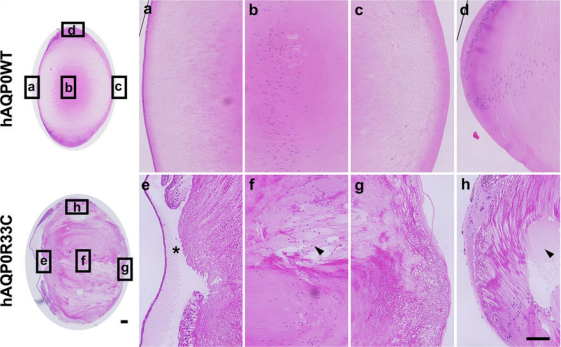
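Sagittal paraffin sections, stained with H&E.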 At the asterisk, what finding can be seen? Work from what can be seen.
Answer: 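A detachment region between epithelial and fiber cells. A clear gap separates the thin surface cell layer from the underlying fiber mass at the asterisk.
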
